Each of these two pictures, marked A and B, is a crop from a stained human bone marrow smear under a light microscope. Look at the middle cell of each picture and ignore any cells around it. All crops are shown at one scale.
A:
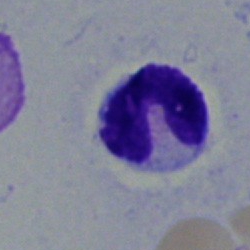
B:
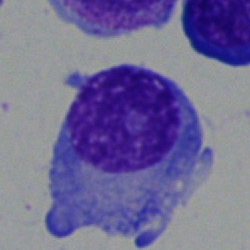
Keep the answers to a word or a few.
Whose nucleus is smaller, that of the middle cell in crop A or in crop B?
A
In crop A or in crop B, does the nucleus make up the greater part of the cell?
A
